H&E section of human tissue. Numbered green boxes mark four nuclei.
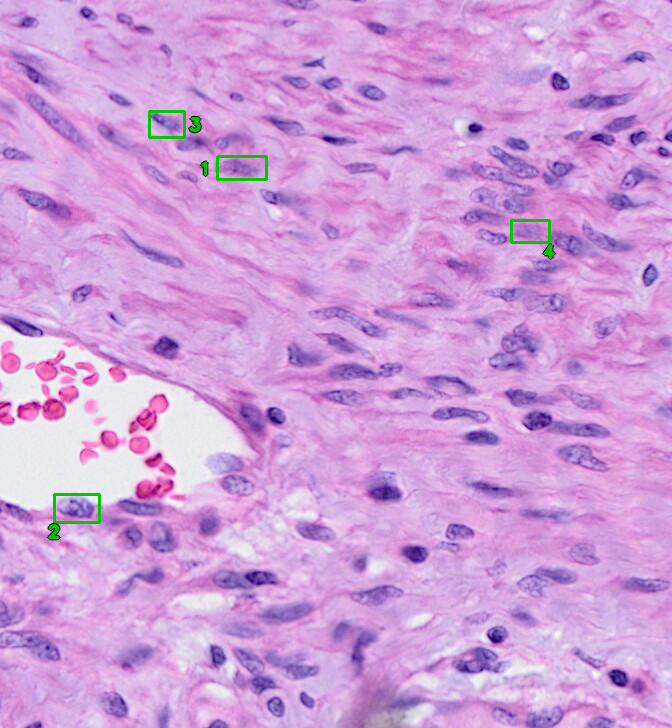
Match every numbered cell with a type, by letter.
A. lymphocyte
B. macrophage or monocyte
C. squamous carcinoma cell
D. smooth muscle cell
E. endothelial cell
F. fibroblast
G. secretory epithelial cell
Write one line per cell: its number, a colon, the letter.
1: D
2: E
3: D
4: D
